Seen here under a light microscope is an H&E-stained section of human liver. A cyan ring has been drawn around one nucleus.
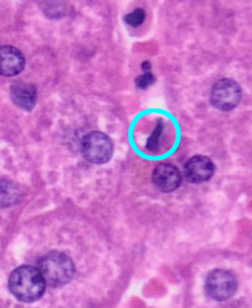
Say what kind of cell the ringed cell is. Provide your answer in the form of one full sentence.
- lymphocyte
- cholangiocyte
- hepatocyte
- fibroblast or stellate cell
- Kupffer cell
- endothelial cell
The identity of the ringed cell is that of an endothelial cell.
